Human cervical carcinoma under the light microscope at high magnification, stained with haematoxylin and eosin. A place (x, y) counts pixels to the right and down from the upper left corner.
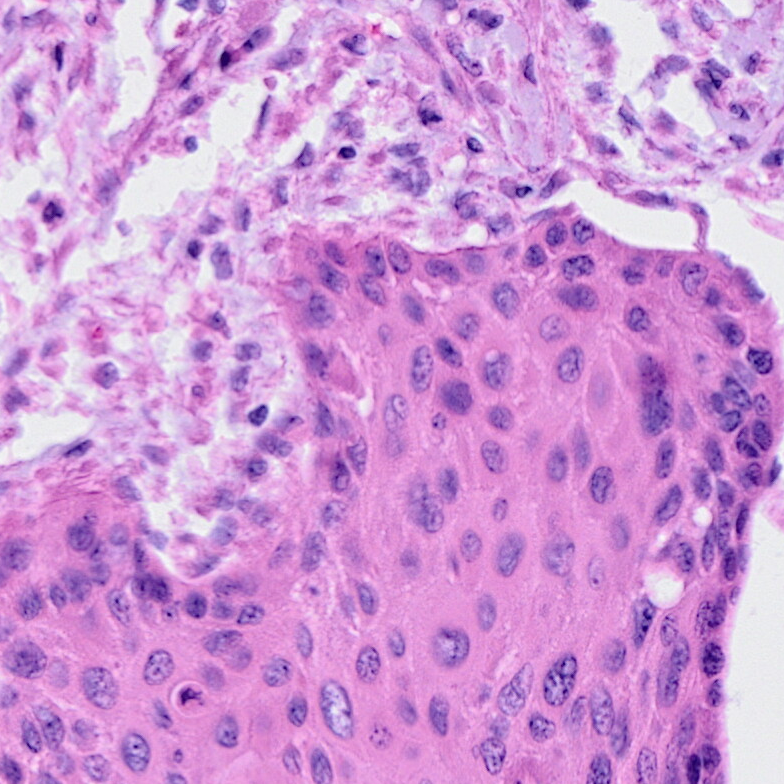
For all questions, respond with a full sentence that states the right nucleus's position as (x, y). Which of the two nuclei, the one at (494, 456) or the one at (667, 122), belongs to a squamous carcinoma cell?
The nucleus at (494, 456), rather than the other one, belongs to a squamous carcinoma cell.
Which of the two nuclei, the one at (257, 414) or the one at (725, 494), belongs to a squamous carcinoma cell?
The nucleus at position (725, 494) belongs to a squamous carcinoma cell.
